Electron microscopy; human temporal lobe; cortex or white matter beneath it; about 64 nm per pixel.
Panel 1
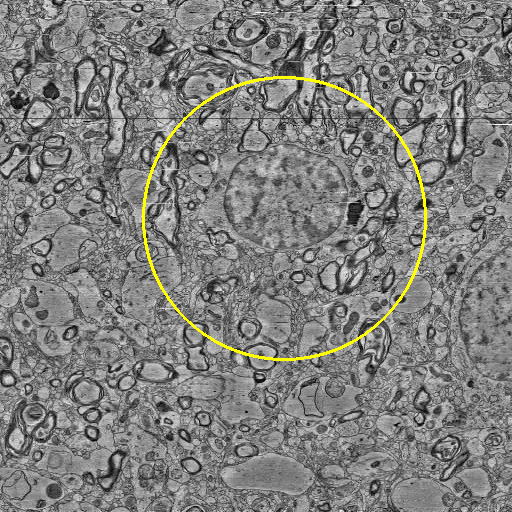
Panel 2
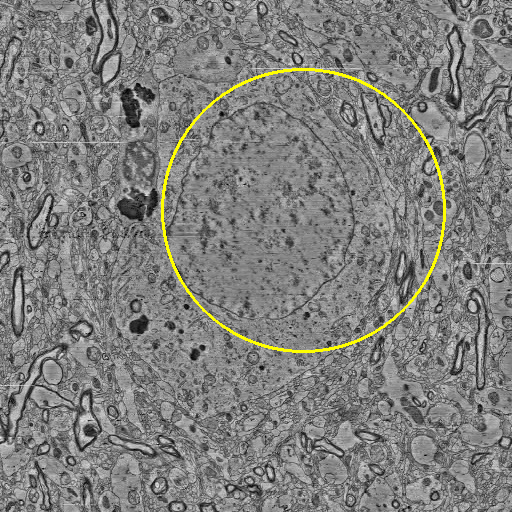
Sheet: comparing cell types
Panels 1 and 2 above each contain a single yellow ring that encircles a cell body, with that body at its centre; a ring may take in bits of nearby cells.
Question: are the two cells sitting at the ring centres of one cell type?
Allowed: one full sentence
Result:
No, the ring-centre cells in Panel 1 and Panel 2 are of two types.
